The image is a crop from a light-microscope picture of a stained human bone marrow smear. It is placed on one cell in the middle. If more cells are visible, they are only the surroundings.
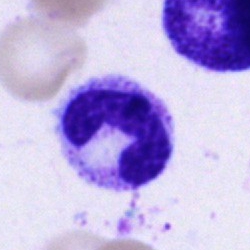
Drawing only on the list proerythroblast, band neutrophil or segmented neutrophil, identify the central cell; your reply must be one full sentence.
The cell featured at the centre of this crop is a band neutrophil.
